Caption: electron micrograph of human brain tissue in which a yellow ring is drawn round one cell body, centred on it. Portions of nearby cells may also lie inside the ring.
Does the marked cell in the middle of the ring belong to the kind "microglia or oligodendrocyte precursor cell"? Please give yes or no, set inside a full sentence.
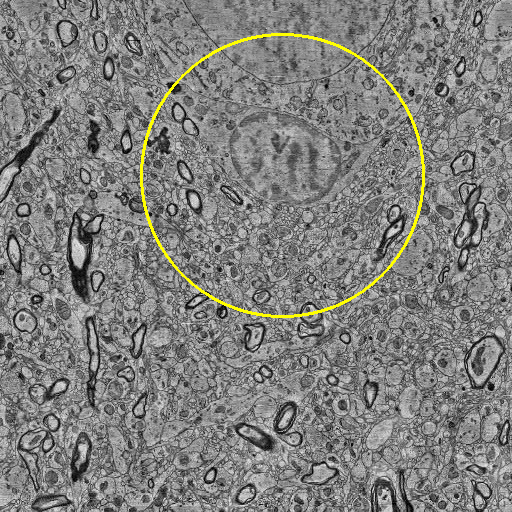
No, the marked cell that the ring is centred on in the picture is of another kind.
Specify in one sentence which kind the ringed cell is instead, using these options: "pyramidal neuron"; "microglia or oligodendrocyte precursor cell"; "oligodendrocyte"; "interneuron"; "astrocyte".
The ring's central cell is an oligodendrocyte instead.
